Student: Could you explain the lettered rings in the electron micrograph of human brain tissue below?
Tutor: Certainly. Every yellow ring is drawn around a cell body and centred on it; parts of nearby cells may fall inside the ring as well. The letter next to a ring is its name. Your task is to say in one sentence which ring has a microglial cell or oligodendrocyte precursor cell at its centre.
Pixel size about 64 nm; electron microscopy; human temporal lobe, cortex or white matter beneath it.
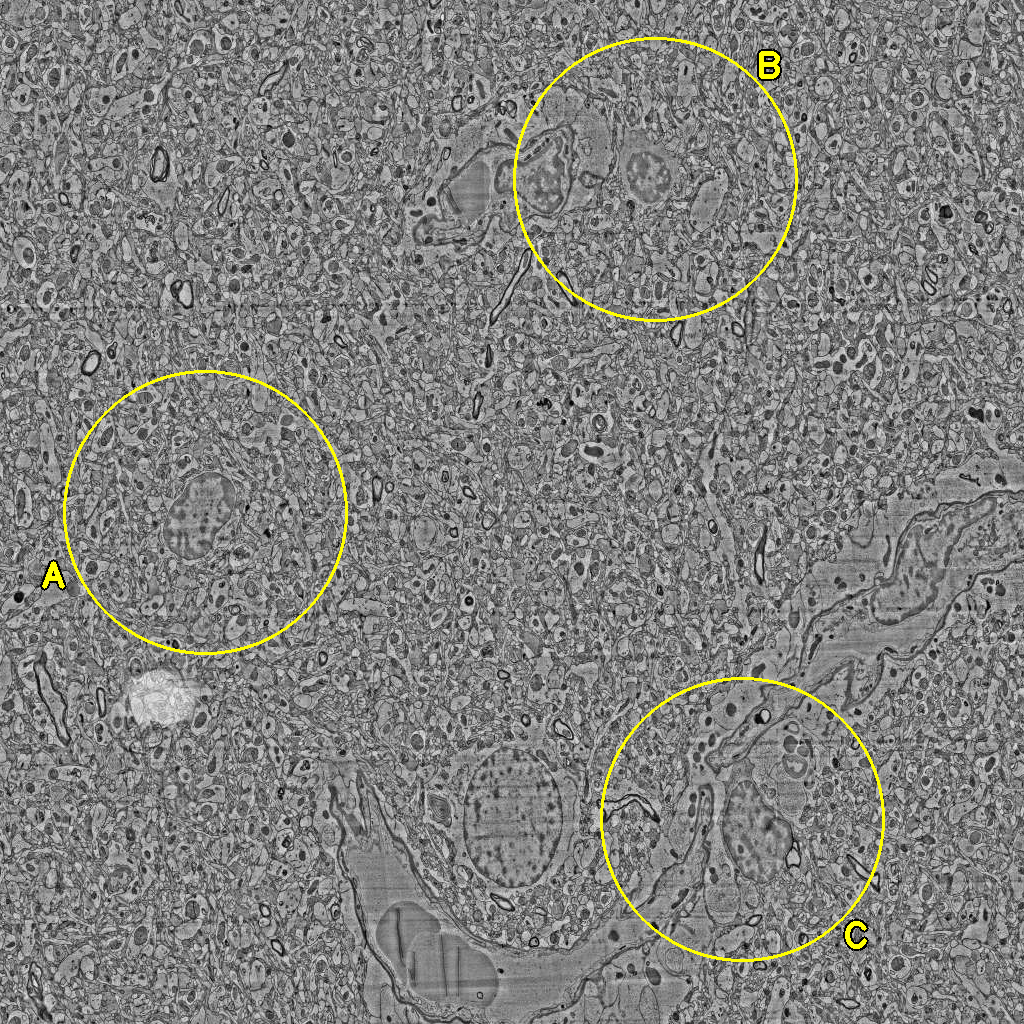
The cell at the centre of ring A is the one.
